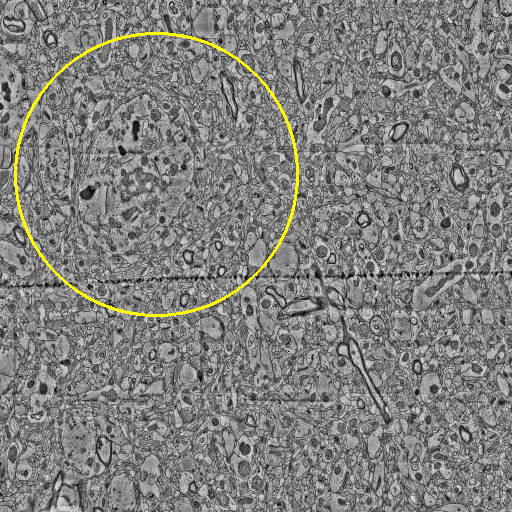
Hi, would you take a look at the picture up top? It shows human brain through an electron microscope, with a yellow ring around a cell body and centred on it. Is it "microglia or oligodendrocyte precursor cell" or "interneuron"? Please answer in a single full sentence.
The best fit for the cell in the middle of the ring is an interneuron, I reckon.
